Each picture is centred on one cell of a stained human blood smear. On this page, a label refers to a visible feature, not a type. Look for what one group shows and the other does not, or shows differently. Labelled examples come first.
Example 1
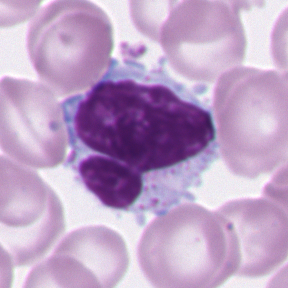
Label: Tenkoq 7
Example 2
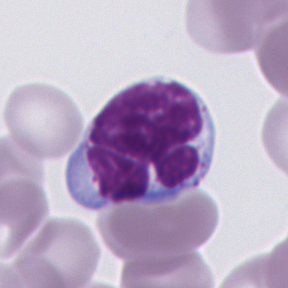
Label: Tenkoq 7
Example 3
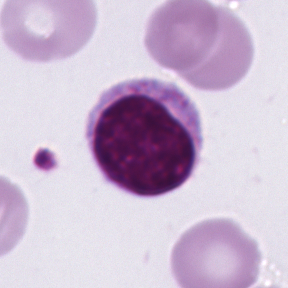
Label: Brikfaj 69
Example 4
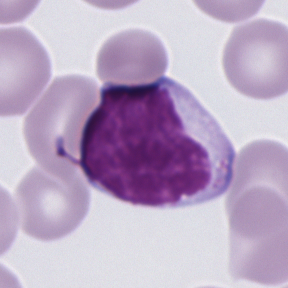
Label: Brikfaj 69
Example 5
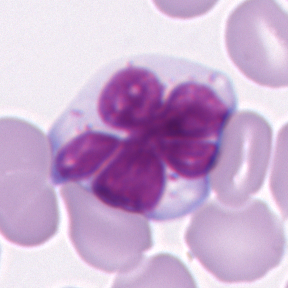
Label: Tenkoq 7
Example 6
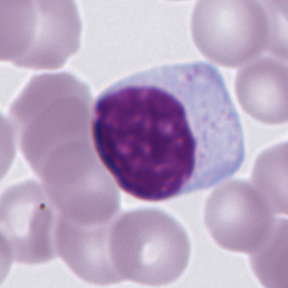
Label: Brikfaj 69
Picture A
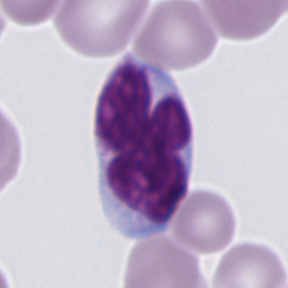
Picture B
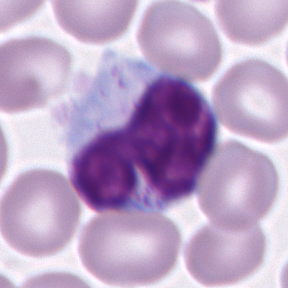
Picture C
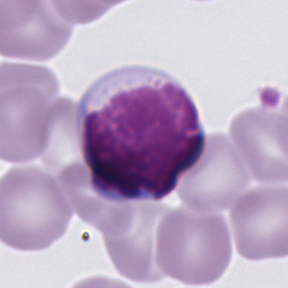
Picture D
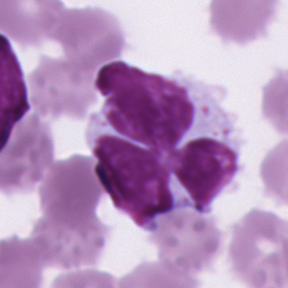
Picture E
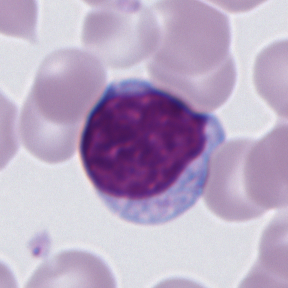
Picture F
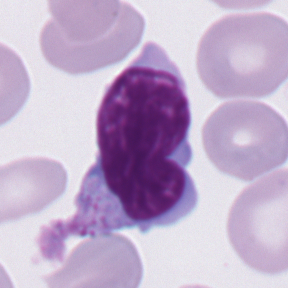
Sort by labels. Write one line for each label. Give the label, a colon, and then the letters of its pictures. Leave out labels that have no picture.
Tenkoq 7: A, B, D, F
Brikfaj 69: C, E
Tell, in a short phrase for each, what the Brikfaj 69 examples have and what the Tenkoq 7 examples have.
Brikfaj 69: single compact nucleus; Tenkoq 7: lobed nucleus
